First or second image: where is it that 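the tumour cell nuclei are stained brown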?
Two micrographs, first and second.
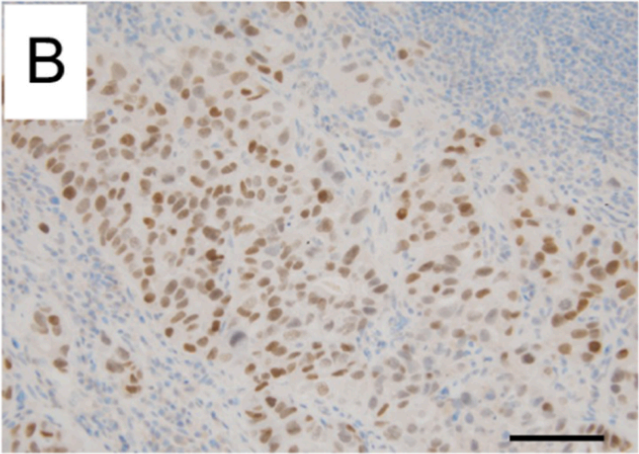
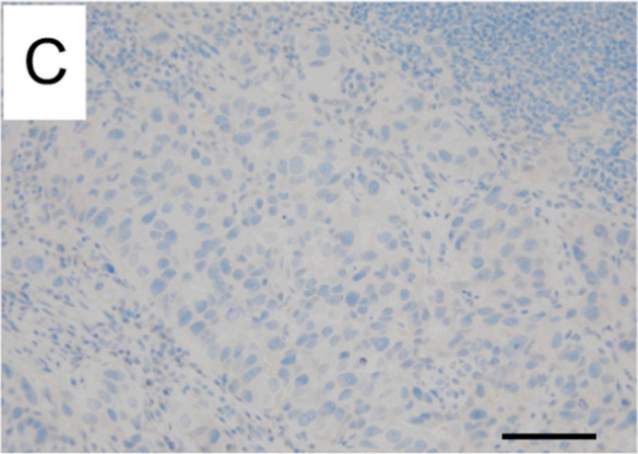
The first image.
